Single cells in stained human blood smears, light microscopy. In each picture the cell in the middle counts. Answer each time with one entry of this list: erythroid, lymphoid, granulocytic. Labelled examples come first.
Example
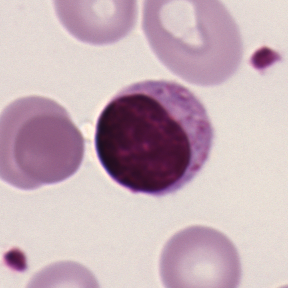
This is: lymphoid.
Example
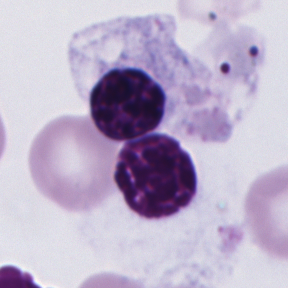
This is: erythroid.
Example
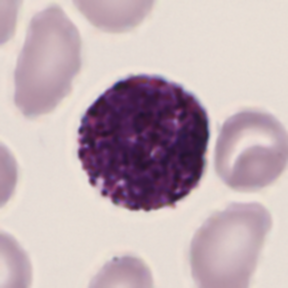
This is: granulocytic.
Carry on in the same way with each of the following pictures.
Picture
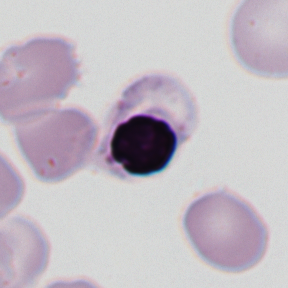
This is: erythroid.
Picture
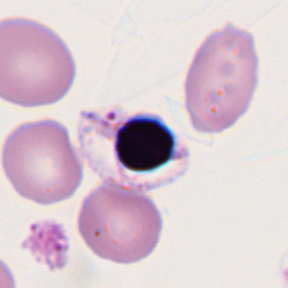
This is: erythroid.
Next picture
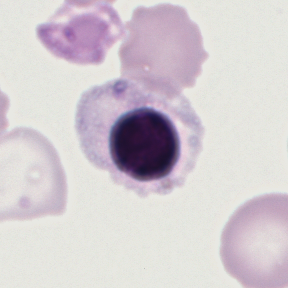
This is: erythroid.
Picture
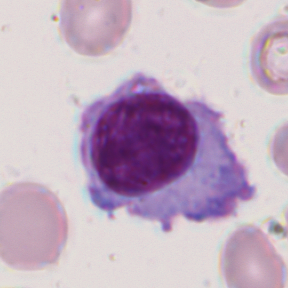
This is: lymphoid.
